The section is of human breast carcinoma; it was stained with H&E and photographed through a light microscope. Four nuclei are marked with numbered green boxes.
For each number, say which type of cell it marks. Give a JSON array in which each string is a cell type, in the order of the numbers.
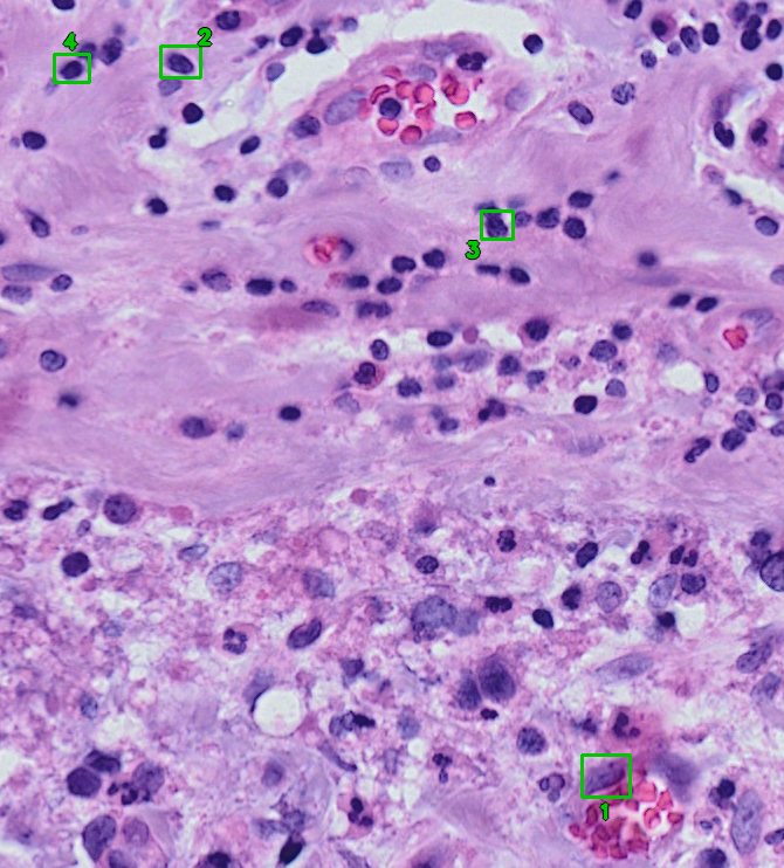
["endothelial cell", "lymphocyte", "lymphocyte", "lymphocyte"]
